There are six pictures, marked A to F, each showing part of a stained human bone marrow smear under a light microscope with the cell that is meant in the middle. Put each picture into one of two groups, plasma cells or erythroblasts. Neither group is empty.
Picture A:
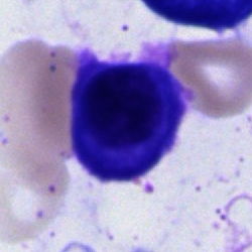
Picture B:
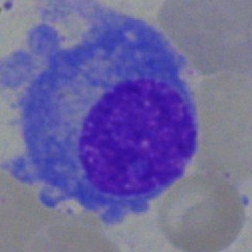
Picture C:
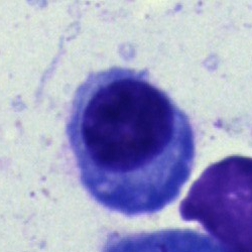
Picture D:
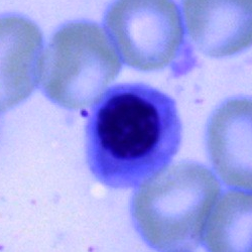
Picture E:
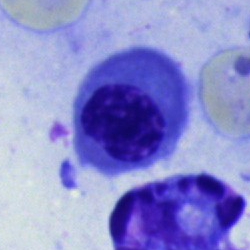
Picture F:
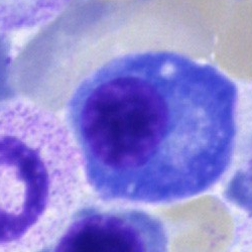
A: plasma cell
B: plasma cell
C: plasma cell
D: erythroblast
E: erythroblast
F: plasma cell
